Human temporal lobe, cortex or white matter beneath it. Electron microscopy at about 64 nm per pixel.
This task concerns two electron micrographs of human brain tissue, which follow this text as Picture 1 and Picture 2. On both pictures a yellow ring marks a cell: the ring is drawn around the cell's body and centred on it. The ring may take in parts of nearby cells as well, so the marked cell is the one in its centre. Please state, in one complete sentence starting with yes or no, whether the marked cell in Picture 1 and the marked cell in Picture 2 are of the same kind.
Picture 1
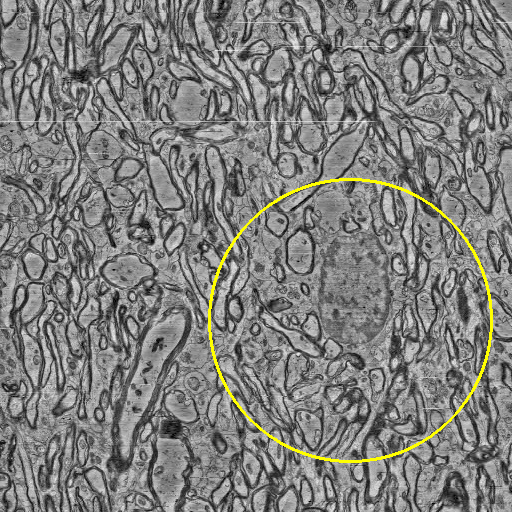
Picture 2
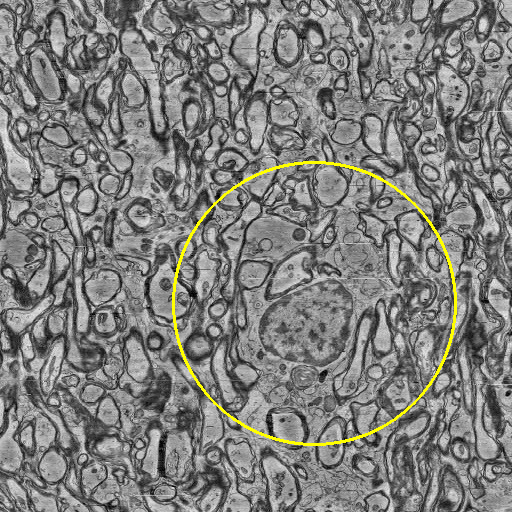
No, the marked cells in the two pictures are of two kinds.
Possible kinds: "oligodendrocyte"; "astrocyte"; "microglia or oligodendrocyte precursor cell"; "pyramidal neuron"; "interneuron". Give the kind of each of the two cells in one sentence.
The cell in the second picture is a microglial cell or oligodendrocyte precursor cell, and that in the first is an oligodendrocyte.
